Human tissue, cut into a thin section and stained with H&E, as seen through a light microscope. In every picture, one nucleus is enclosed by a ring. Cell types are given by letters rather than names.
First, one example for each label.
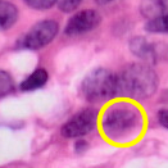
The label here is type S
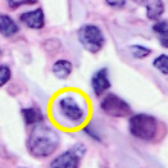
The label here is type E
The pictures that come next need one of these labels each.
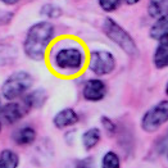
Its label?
type E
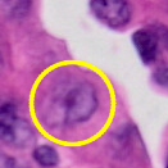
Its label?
type S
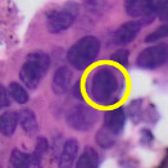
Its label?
type S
